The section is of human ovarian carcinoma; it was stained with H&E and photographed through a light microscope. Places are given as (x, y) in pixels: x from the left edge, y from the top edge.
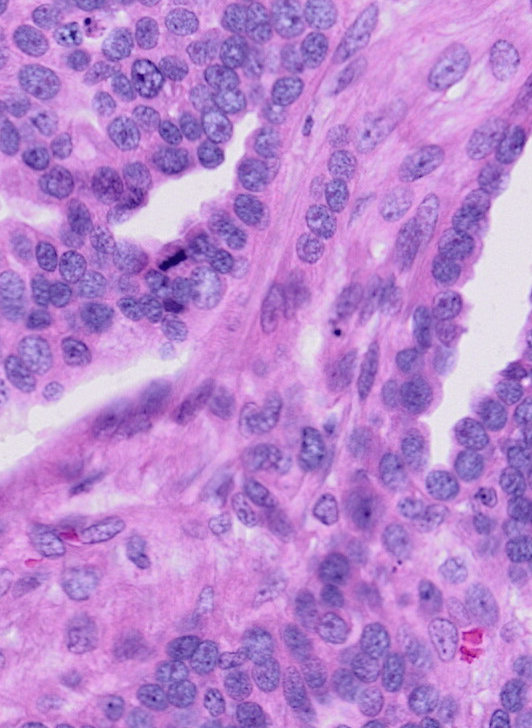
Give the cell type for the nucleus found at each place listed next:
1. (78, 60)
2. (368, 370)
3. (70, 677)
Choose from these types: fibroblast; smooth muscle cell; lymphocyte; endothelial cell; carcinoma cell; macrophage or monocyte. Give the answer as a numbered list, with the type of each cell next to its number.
1. carcinoma cell
2. fibroblast
3. fibroblast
